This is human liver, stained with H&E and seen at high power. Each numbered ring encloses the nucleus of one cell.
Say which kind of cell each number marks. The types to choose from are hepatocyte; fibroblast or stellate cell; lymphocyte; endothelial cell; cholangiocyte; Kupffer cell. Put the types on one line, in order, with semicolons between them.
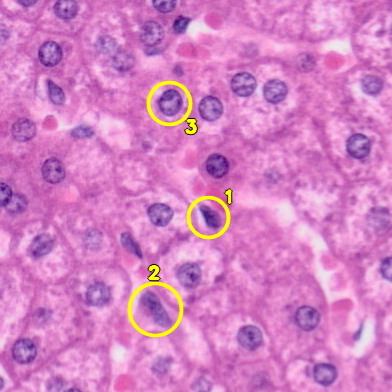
endothelial cell; Kupffer cell; hepatocyte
